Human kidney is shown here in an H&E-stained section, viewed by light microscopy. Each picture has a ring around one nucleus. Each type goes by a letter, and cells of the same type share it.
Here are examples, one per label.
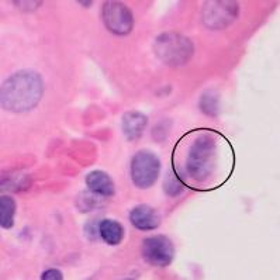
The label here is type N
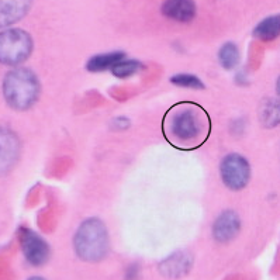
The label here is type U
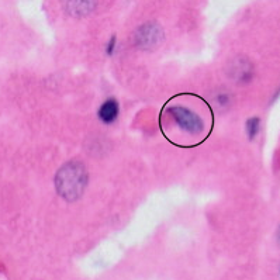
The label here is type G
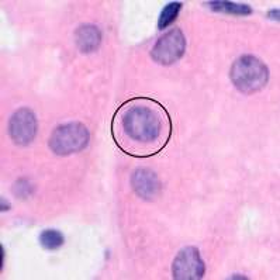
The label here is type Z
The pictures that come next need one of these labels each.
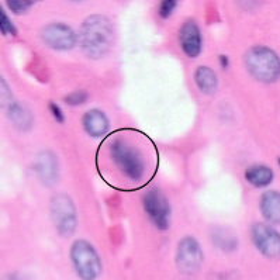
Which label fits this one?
type N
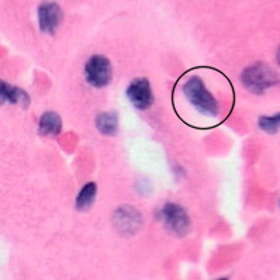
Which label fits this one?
type G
